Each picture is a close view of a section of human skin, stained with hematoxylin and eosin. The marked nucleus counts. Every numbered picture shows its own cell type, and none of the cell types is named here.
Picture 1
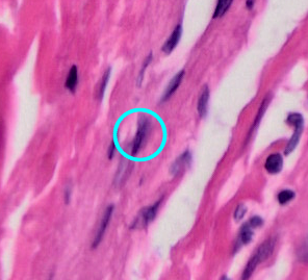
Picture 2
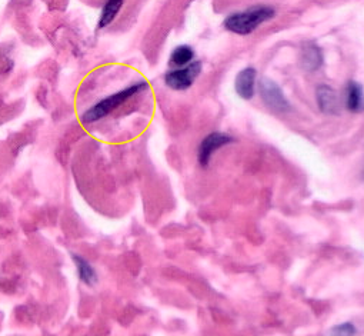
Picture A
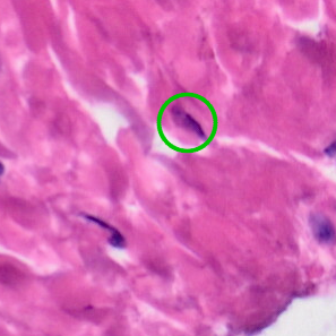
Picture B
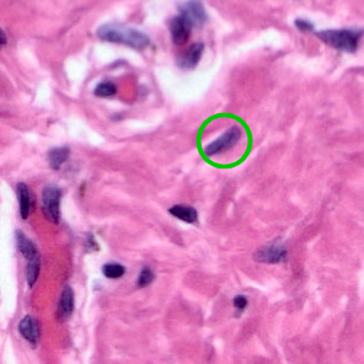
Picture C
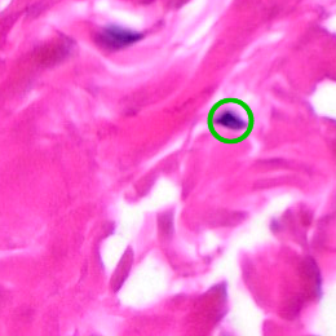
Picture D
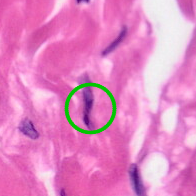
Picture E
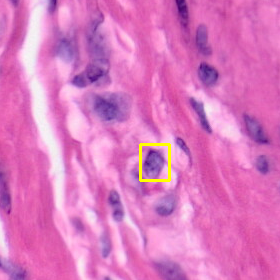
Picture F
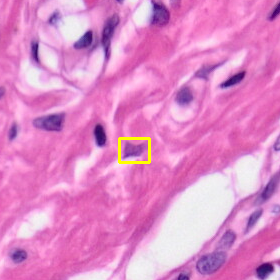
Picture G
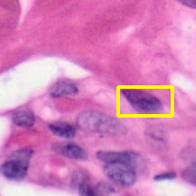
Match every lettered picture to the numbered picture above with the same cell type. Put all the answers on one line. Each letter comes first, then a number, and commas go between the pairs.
A 2, B 2, C 2, D 2, E 1, F 2, G 2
